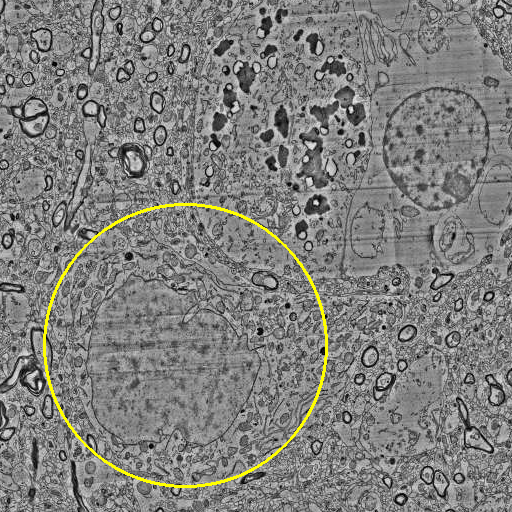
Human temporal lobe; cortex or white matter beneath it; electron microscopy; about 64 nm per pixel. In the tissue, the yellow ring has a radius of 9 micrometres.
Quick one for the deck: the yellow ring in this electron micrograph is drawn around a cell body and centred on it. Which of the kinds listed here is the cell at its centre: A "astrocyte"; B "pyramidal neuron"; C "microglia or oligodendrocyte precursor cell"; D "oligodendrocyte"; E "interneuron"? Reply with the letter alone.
E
